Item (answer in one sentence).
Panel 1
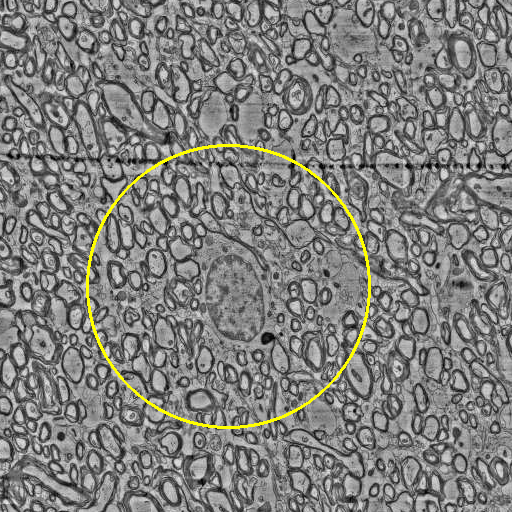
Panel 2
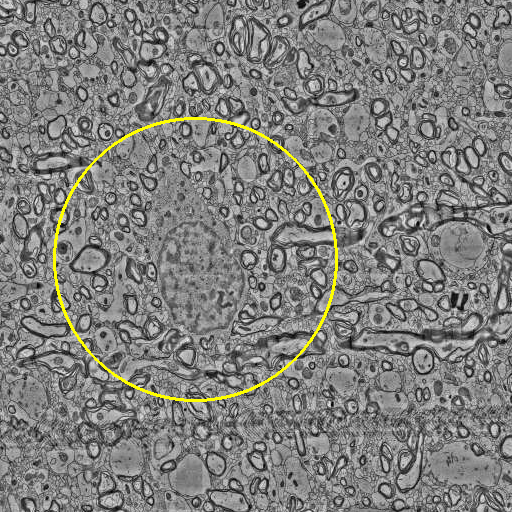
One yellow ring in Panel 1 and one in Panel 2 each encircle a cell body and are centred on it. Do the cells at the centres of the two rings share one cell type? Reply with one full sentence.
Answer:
Yes, Panel 1 and Panel 2 show cells of one type at the centres of their rings.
